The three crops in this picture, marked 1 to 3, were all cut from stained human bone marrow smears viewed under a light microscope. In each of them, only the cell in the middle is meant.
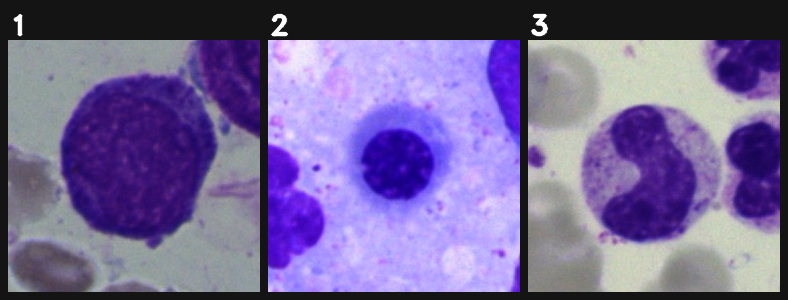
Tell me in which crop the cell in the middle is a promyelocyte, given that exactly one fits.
1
